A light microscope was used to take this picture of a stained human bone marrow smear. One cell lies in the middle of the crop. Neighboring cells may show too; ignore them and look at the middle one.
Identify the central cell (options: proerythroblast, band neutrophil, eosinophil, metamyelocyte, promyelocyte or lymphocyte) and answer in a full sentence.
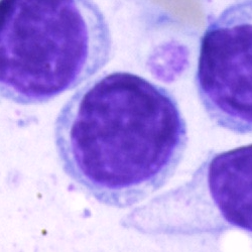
In this smear crop, the middle cell is a lymphocyte.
